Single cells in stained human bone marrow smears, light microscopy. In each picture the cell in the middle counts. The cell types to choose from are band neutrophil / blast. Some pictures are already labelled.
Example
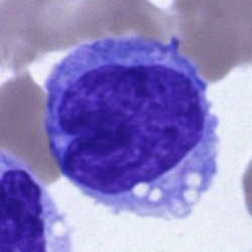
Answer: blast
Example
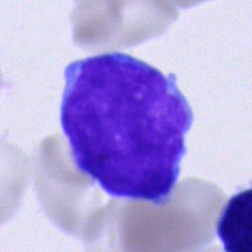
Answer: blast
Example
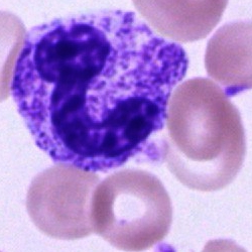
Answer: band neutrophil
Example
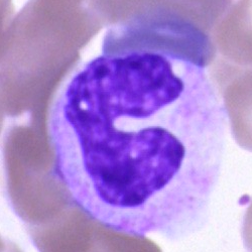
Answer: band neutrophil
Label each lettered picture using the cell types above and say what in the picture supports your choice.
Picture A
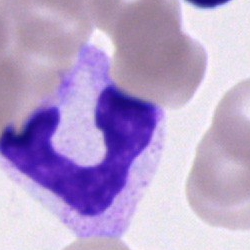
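band neutrophil. Evidence: The nucleus is a thick curved band bent into a U shape with its open side facing upward.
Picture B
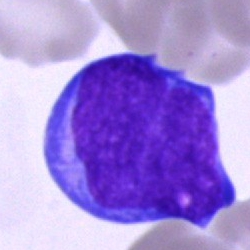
blast. Evidence: The nucleus fills most of the cell.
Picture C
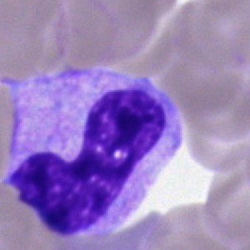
band neutrophil. Evidence: The cytoplasm is plentiful and pale lilac in colour.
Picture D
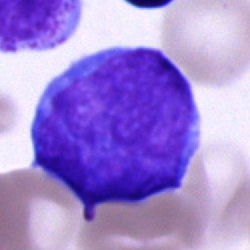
blast. Evidence: The cytoplasm is only a thin deep-blue rim, seen most clearly along the upper left edge.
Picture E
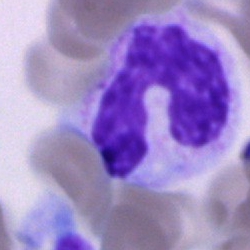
band neutrophil. Evidence: The nucleus is a curved band bent into a horseshoe shape that opens toward the bottom.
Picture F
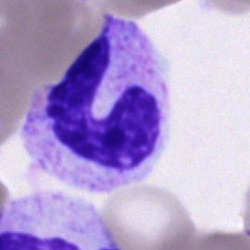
band neutrophil. Evidence: The cytoplasm holds many fine pink-violet granules.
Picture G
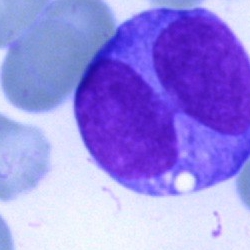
blast. Evidence: The chromatin is deep purple and finely textured rather than coarsely clumped.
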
